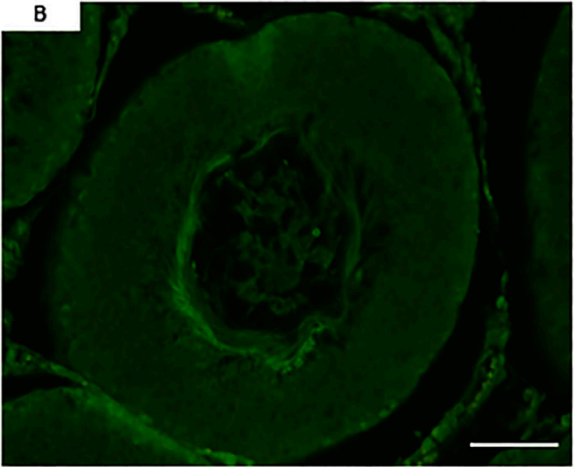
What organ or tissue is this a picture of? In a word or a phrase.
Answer: Seminiferous tubes.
